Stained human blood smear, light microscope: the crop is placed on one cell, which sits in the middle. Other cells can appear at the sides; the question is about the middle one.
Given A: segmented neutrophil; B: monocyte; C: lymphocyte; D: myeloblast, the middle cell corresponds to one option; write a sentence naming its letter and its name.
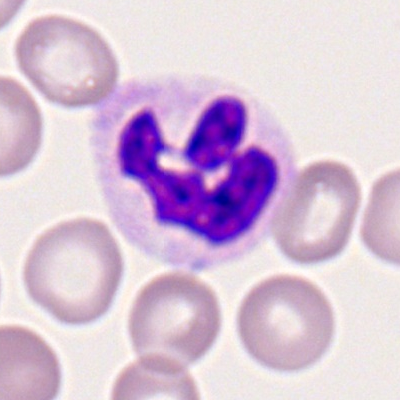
The cell centred in the crop is a segmented neutrophil, and the correct option is thus A.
